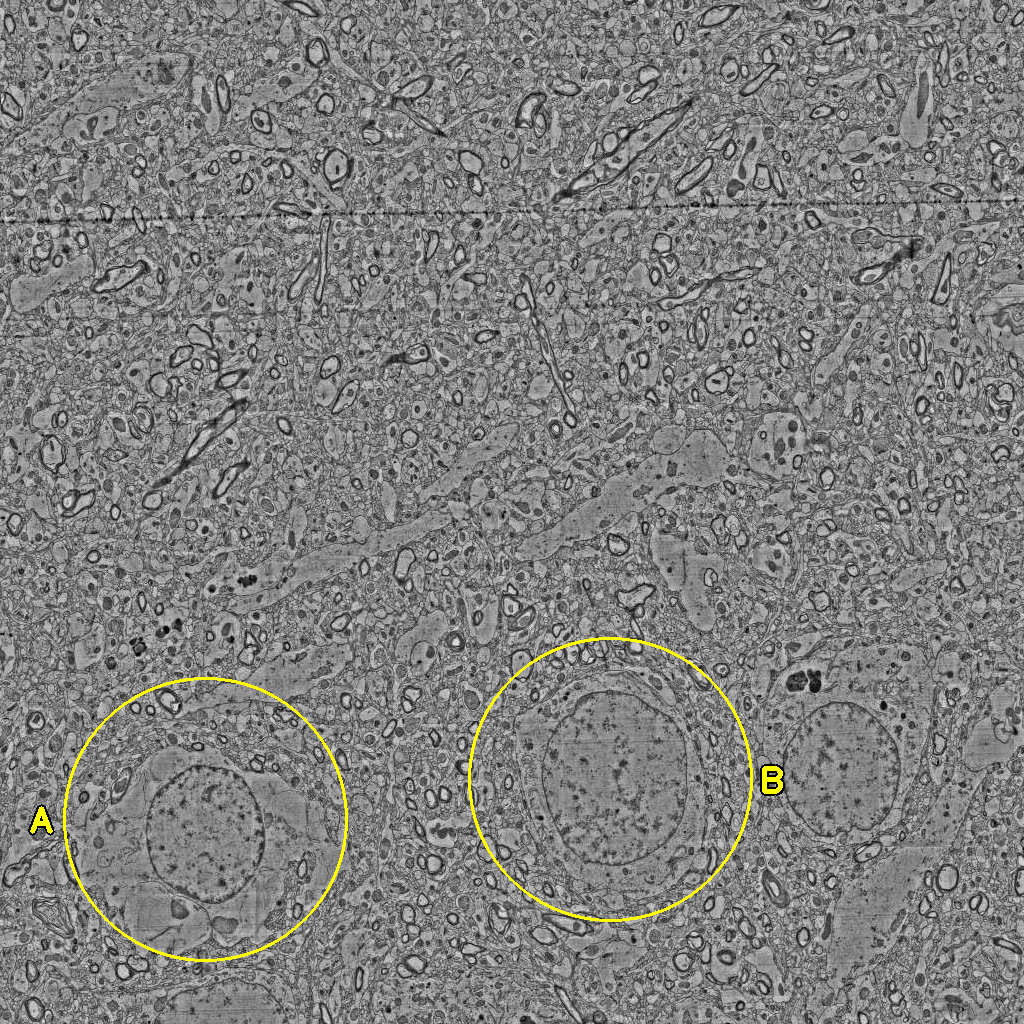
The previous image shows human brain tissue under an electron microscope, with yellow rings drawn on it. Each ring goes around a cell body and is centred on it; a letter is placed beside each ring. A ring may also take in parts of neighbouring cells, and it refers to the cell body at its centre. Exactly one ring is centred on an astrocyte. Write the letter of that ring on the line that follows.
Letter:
A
